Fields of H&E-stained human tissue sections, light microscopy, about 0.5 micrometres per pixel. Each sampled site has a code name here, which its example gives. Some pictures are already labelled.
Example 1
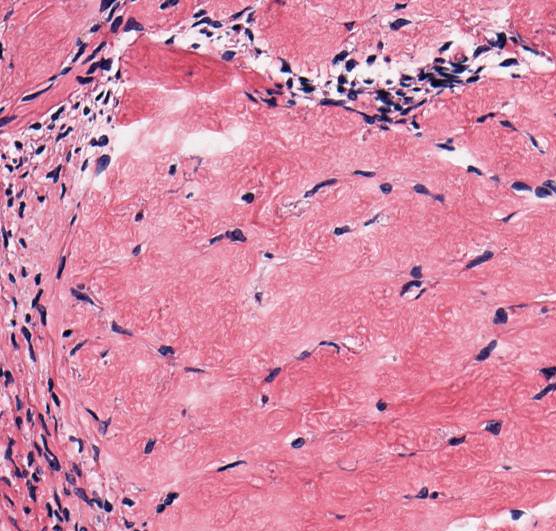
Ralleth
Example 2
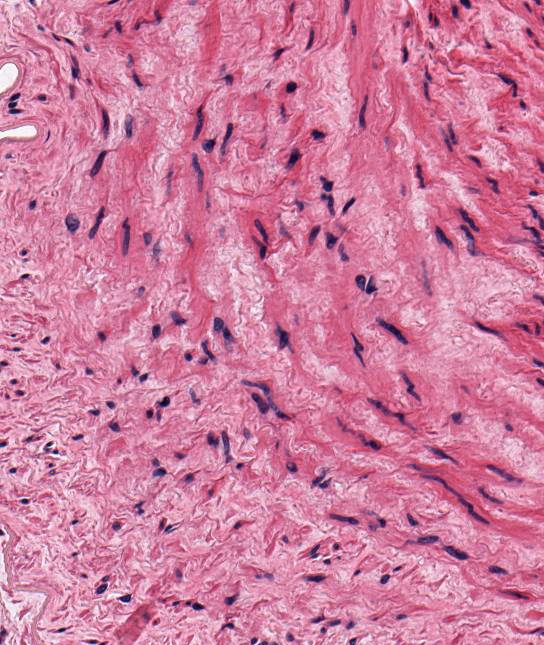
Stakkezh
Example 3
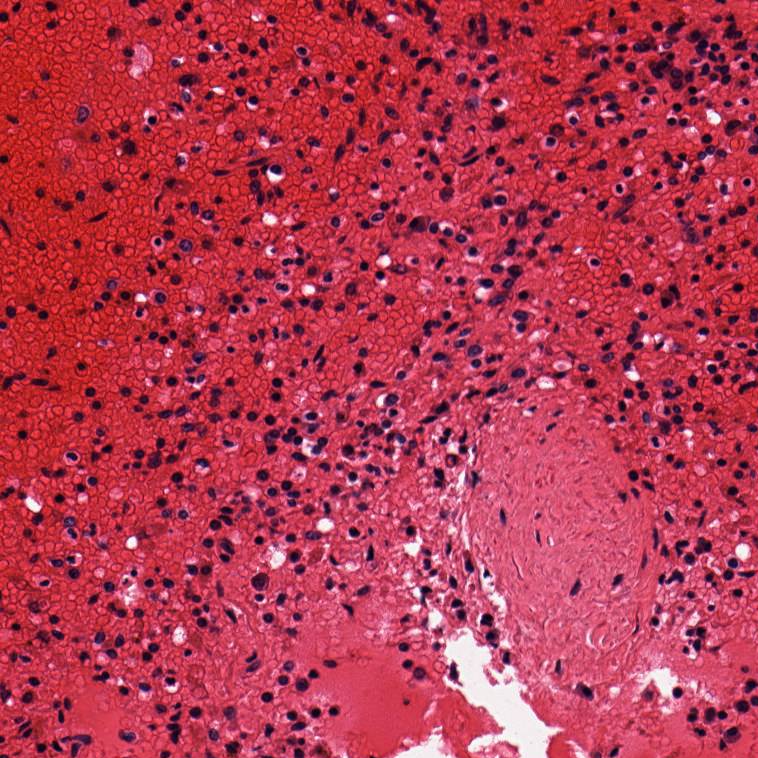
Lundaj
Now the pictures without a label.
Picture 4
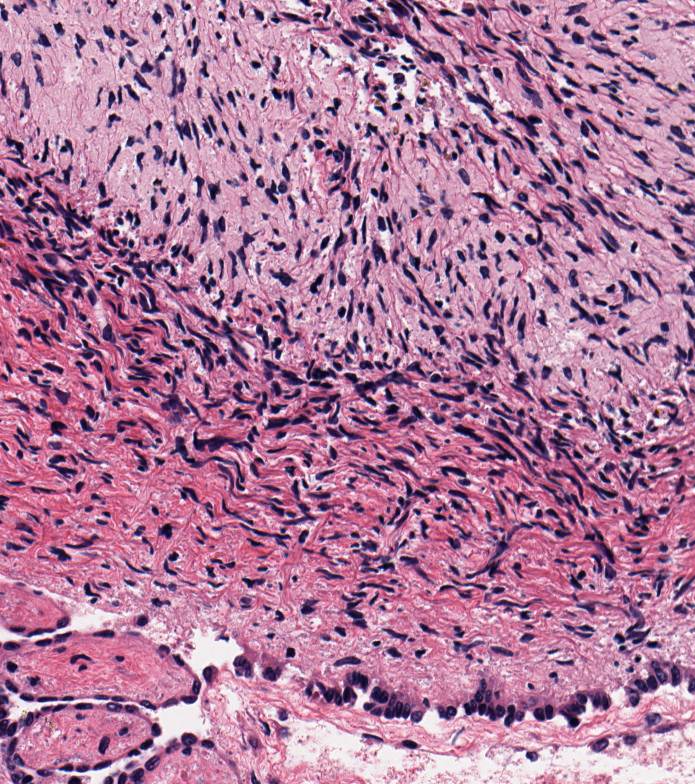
Ralleth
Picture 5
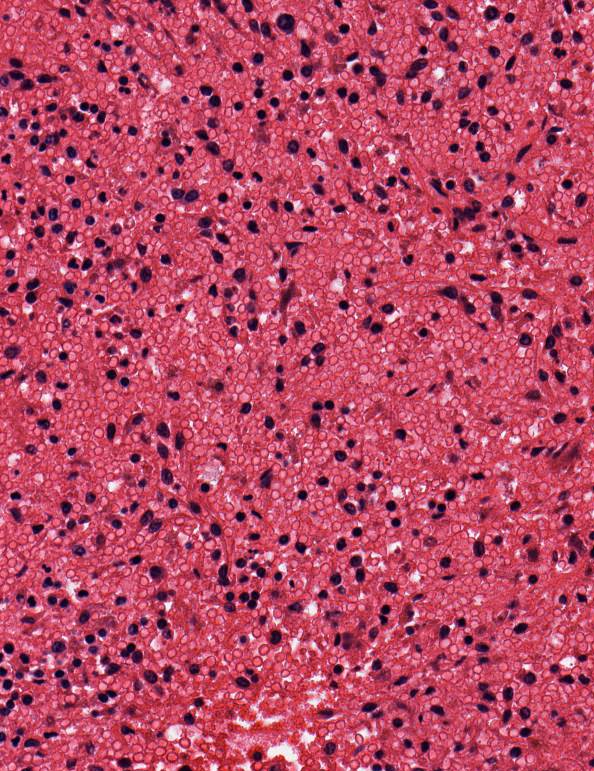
Lundaj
